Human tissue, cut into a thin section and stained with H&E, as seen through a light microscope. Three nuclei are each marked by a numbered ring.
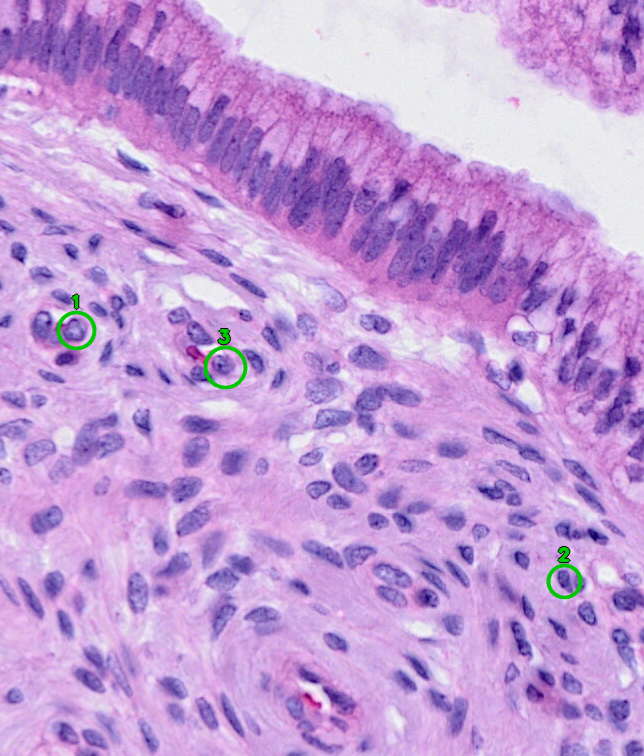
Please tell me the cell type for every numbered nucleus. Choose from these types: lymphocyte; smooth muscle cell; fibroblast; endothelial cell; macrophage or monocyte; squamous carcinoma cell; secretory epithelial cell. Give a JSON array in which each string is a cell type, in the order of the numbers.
["endothelial cell", "fibroblast", "endothelial cell"]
